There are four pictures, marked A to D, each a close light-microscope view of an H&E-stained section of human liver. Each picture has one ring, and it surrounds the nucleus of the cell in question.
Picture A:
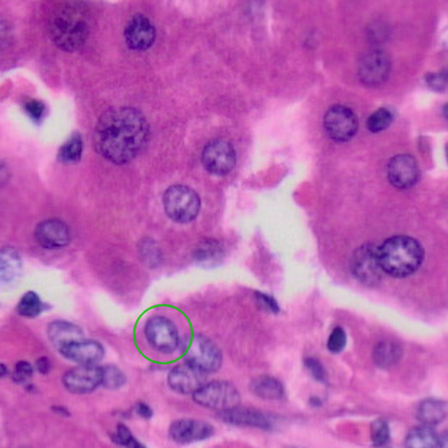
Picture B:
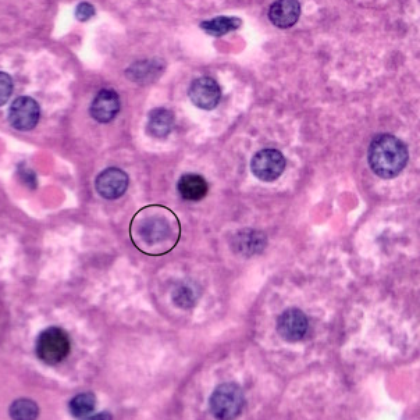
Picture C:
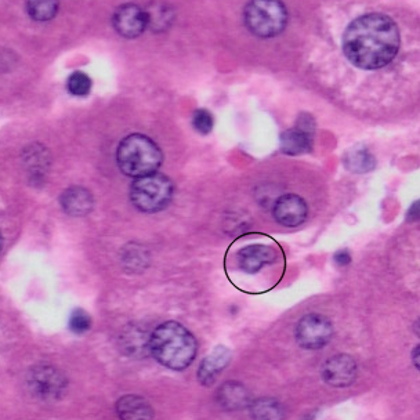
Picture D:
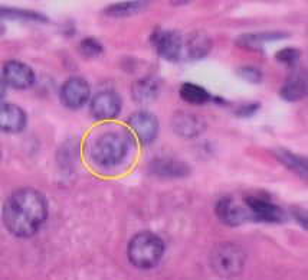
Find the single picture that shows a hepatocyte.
B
